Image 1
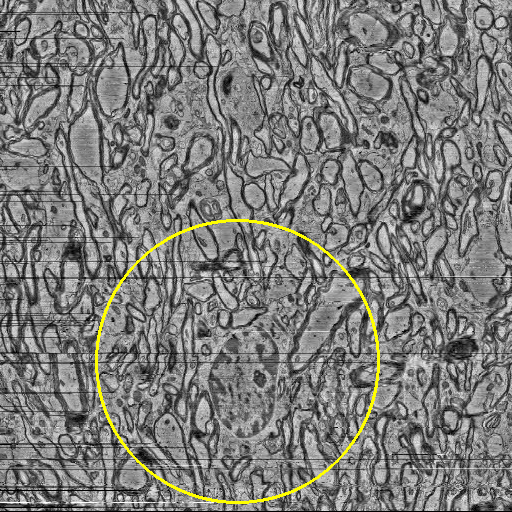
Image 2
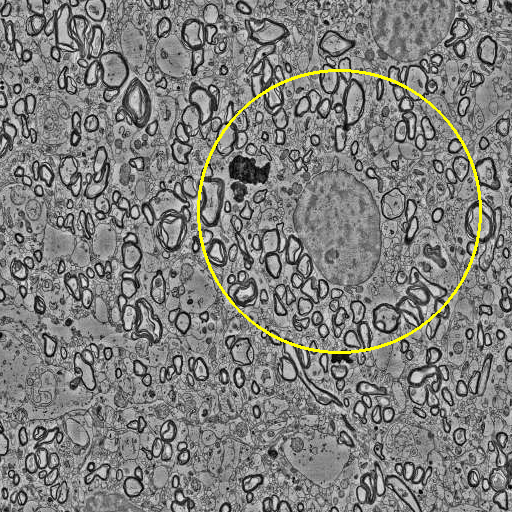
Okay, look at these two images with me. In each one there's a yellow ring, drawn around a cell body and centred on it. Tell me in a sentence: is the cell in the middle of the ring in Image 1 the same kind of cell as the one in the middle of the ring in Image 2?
No, they're two kinds of cell.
